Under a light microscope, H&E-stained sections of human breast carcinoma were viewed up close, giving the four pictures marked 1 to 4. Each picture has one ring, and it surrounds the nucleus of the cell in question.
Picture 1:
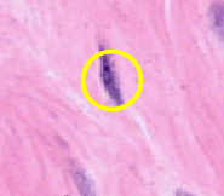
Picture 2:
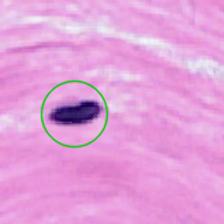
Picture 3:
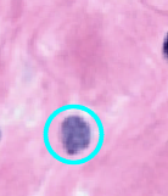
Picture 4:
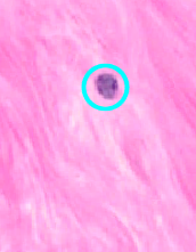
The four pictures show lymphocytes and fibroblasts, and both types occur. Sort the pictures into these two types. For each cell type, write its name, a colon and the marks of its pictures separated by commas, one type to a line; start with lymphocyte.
lymphocyte: 2, 3, 4
fibroblast: 1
